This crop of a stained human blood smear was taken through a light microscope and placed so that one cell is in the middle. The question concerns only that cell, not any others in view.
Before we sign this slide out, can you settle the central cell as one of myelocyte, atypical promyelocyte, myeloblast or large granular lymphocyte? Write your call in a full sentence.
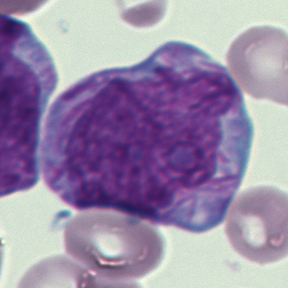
Standing at the centre of this crop is an atypical promyelocyte.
